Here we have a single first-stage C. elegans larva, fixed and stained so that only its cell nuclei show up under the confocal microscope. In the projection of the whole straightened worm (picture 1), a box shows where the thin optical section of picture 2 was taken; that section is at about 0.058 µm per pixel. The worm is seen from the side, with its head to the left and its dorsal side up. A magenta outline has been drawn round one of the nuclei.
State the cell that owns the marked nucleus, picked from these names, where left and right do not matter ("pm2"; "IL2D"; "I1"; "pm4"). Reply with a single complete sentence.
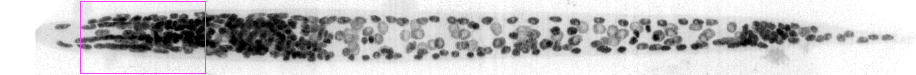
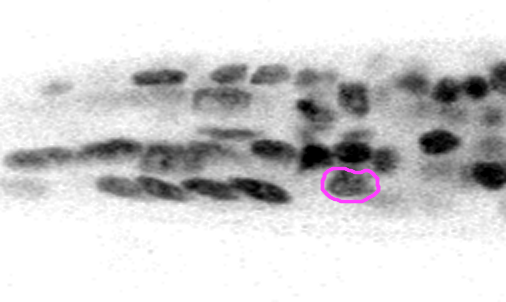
It belongs to pm4, a pharyngeal muscle cell.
